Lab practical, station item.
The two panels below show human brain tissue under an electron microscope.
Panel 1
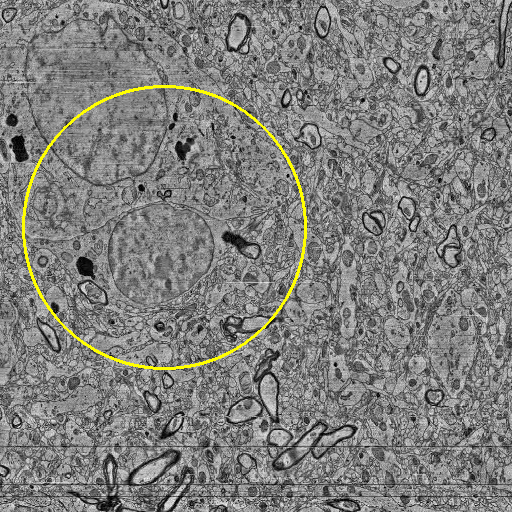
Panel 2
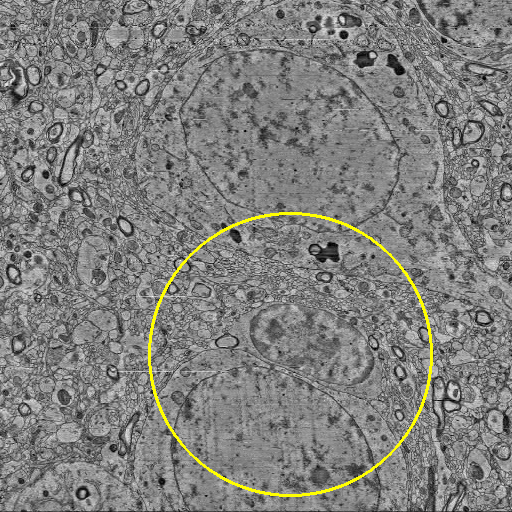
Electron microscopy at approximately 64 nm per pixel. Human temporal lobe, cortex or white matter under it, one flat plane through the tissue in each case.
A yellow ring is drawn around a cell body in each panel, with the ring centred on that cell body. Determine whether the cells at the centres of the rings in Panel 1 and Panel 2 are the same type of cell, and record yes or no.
yes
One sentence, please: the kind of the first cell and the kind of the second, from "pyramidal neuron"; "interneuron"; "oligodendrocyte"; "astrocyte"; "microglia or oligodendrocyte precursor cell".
In each picture the ringed cell is an oligodendrocyte.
